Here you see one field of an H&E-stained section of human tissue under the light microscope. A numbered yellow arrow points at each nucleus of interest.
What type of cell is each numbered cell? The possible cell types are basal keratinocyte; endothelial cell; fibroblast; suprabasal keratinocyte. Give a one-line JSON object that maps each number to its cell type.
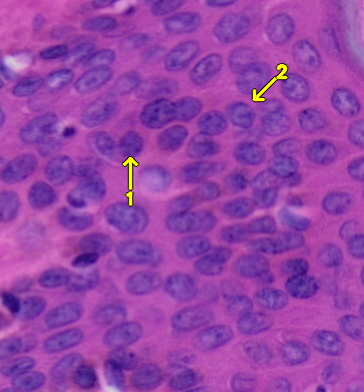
{"1": "basal keratinocyte", "2": "suprabasal keratinocyte"}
